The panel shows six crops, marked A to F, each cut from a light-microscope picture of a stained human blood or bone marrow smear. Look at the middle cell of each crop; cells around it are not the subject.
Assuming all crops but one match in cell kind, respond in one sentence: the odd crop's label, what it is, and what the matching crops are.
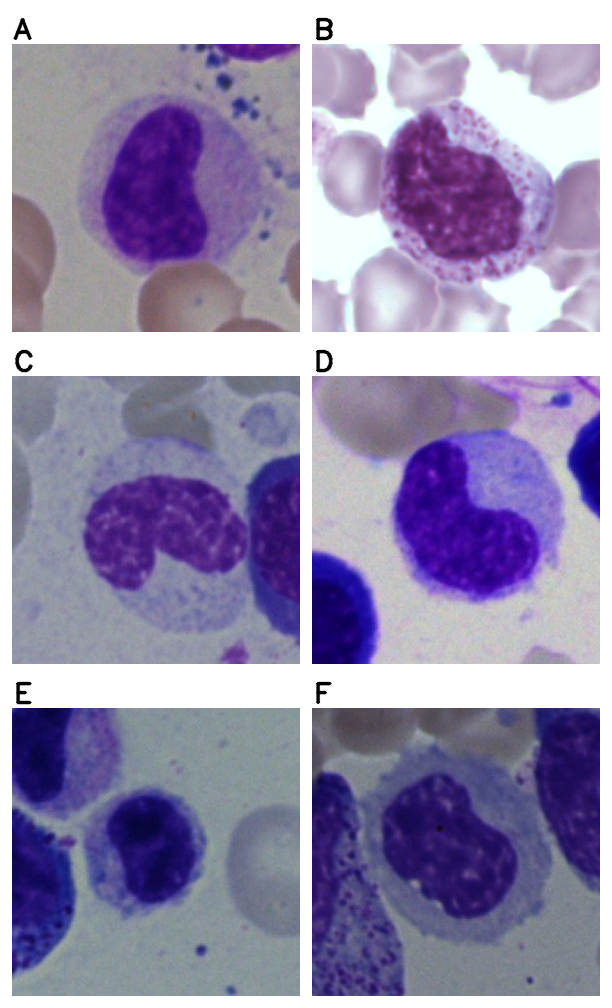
The different crop is B; it is a myelocyte, and the others all show metamyelocytes.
